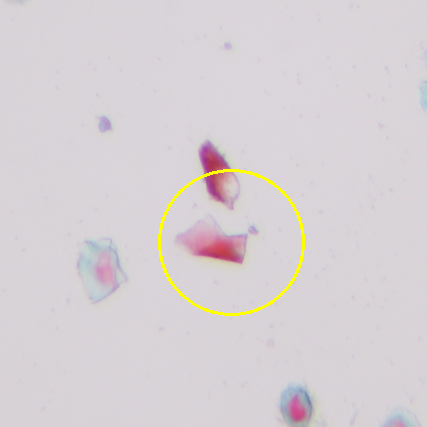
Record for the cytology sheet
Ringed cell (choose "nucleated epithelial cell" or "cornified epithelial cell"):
cornified epithelial cell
